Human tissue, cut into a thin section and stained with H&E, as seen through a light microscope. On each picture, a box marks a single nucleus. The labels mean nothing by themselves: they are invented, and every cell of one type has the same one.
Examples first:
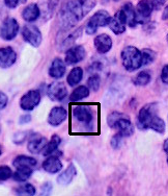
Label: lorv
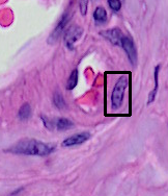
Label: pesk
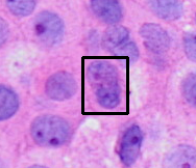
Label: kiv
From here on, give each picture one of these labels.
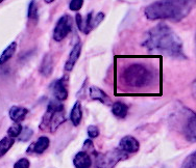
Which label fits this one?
kiv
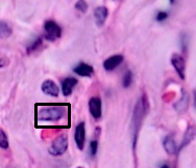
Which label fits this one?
pesk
